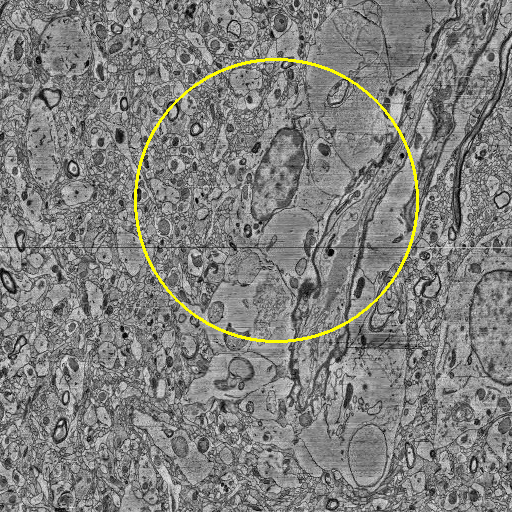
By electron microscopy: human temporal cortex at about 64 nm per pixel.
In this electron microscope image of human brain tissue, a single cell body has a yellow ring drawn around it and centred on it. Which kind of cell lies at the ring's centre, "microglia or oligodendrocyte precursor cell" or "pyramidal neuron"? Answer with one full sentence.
It is a microglial cell or oligodendrocyte precursor cell whose cell body lies at the centre of the yellow ring here.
